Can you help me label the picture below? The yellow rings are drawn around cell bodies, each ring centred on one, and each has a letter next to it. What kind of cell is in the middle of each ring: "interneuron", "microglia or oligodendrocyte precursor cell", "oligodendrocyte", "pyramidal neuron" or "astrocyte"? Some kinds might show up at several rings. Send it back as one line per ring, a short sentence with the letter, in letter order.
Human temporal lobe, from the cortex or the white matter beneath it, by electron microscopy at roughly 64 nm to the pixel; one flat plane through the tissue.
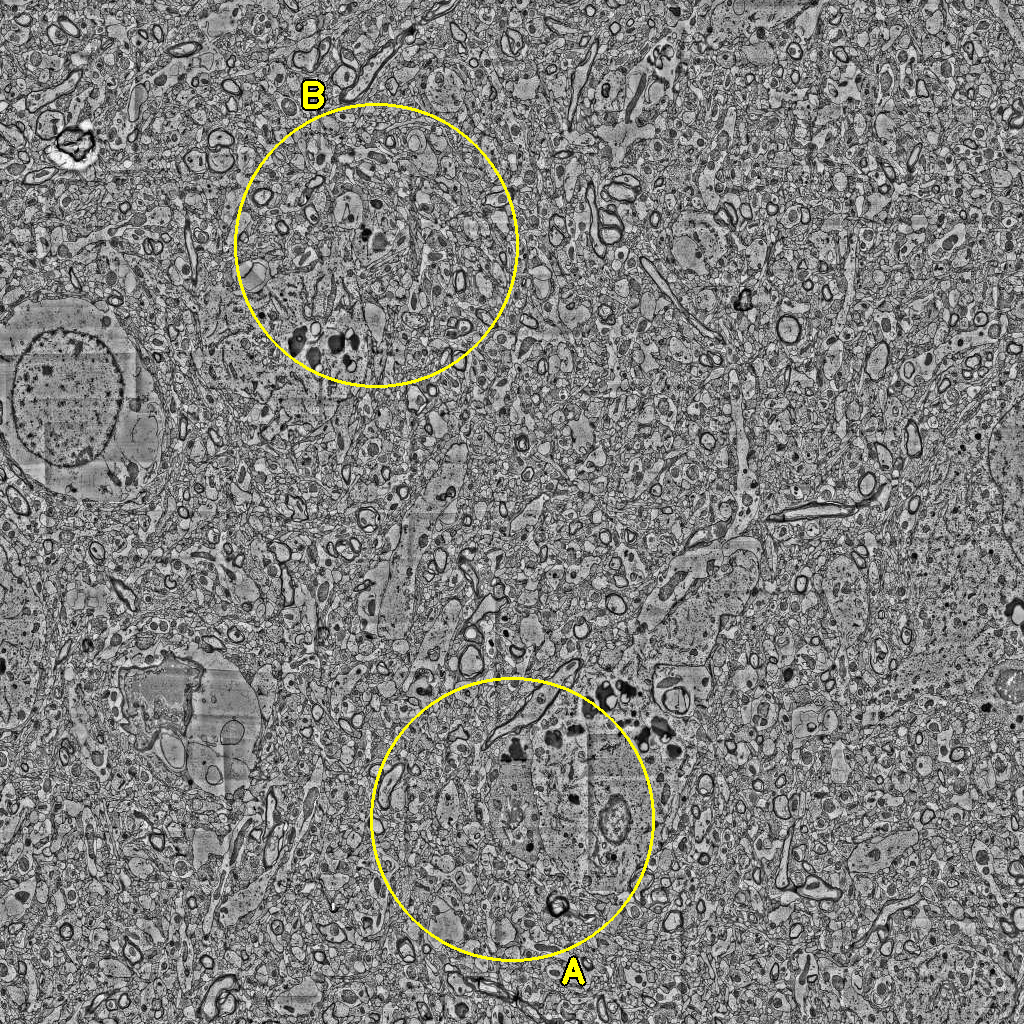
Ring A has an oligodendrocyte in the middle.
Ring B has a microglial cell or oligodendrocyte precursor cell in the middle.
